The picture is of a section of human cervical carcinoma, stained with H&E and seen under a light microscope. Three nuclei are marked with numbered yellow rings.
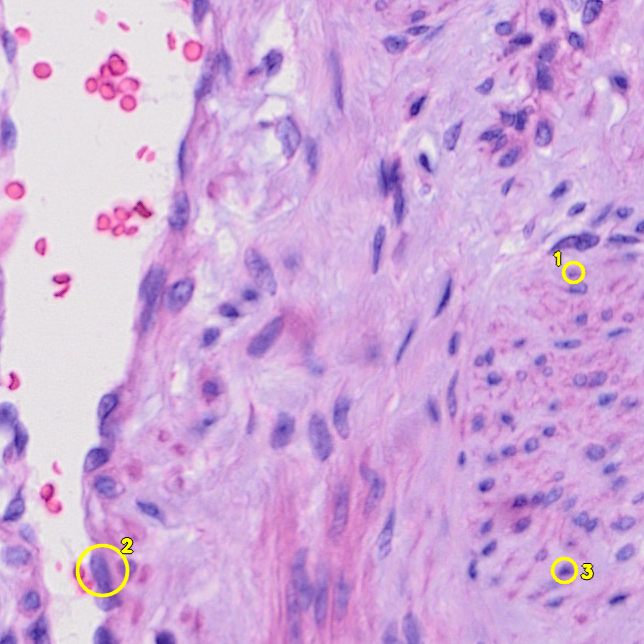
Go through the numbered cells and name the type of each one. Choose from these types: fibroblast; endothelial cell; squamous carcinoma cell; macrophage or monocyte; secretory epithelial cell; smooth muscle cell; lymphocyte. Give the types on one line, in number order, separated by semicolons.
smooth muscle cell; endothelial cell; smooth muscle cell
